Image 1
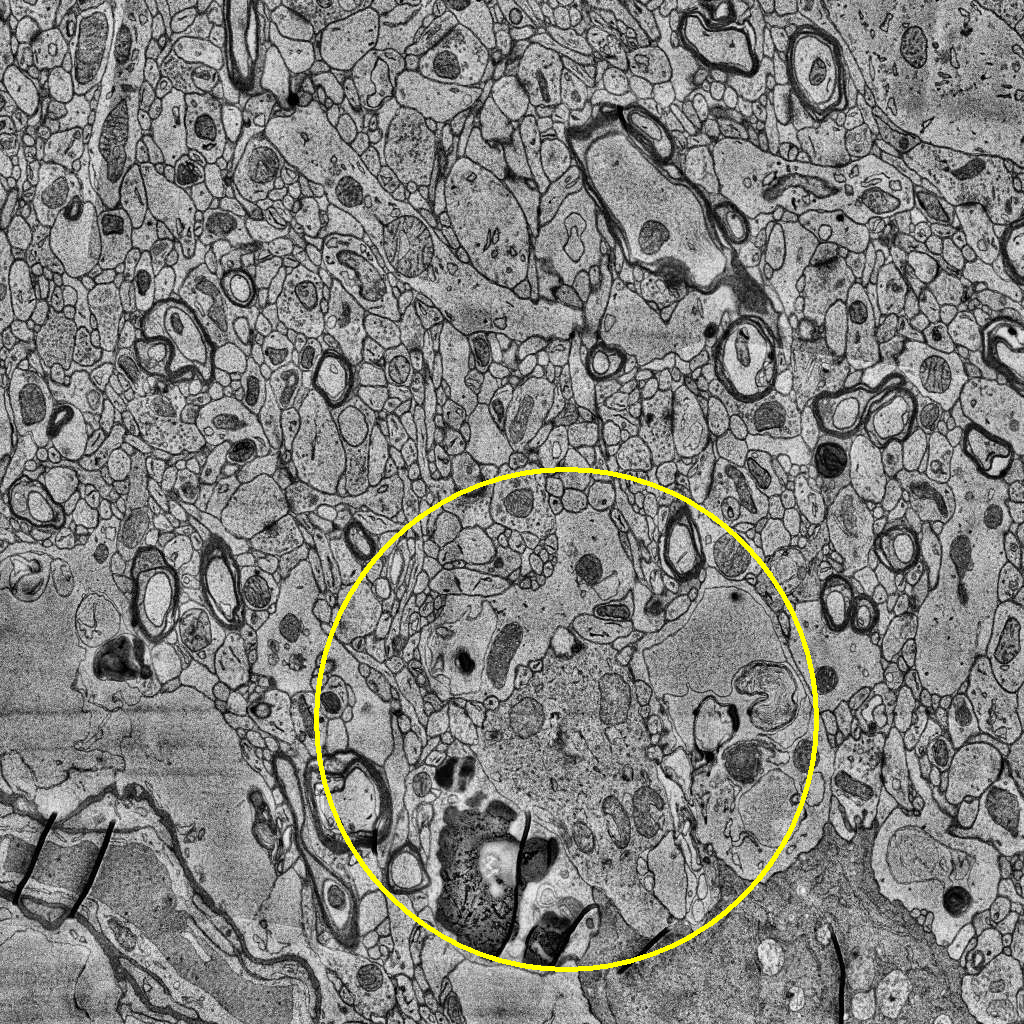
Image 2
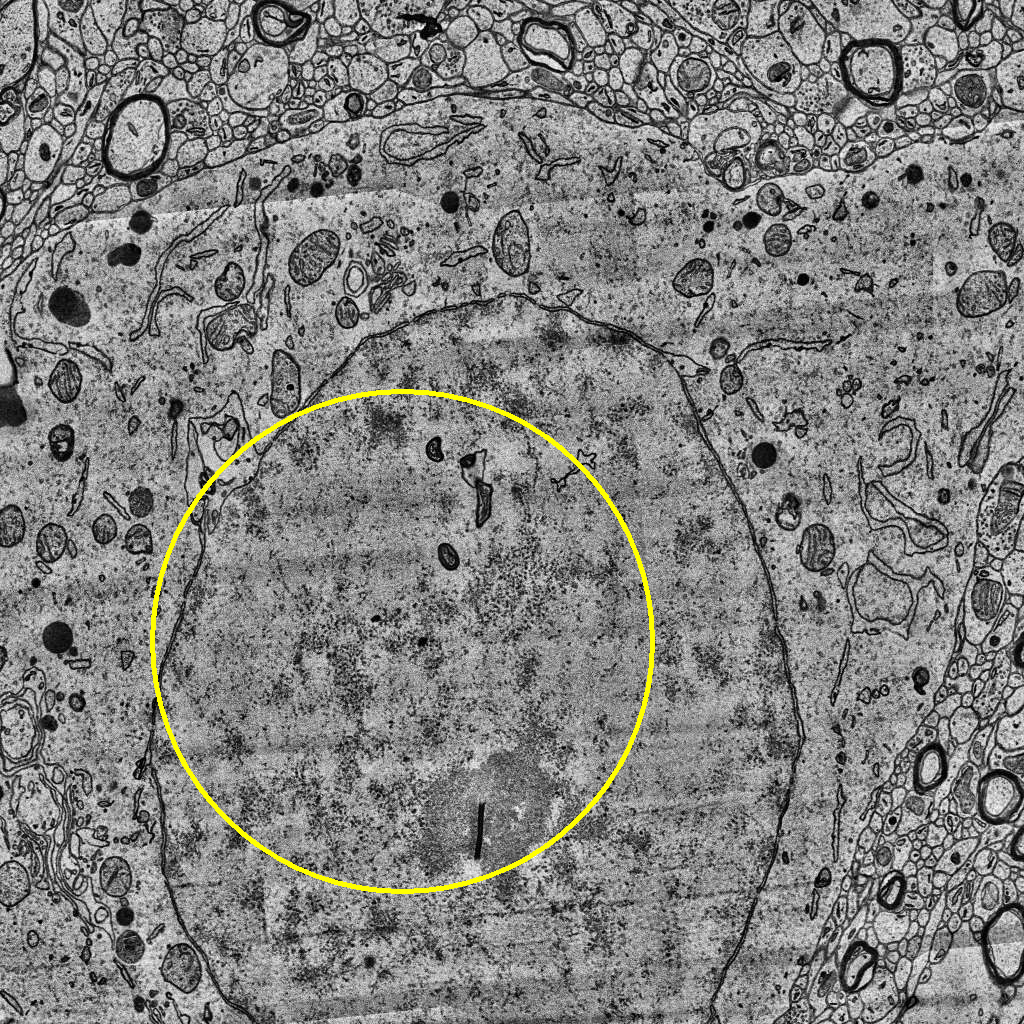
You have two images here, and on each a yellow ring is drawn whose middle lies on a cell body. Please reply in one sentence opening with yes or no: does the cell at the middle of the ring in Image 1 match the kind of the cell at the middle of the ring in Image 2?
No, the two images show cells of two kinds at the centres of their rings.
